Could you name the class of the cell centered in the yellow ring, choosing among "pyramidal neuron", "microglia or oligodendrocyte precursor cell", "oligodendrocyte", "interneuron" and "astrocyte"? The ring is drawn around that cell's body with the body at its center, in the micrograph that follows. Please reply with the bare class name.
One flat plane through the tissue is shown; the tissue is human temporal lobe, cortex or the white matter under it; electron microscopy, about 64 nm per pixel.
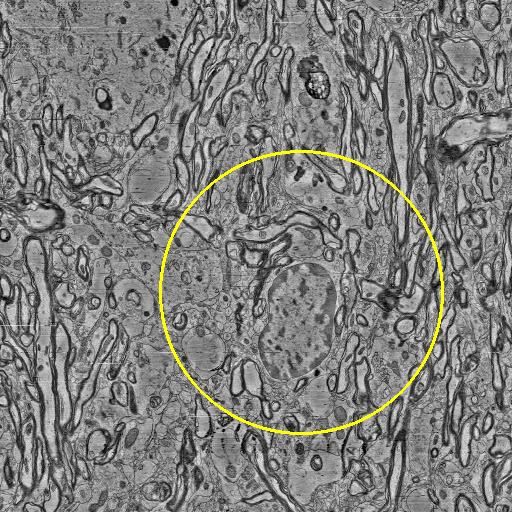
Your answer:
microglia or oligodendrocyte precursor cell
